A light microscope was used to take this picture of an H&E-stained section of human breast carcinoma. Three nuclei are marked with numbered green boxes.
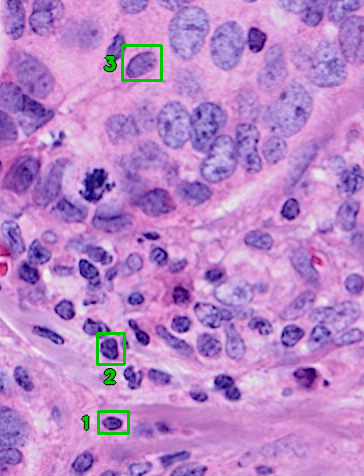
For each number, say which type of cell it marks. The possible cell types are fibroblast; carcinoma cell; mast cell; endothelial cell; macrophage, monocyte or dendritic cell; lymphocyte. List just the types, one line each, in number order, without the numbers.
lymphocyte
lymphocyte
carcinoma cell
